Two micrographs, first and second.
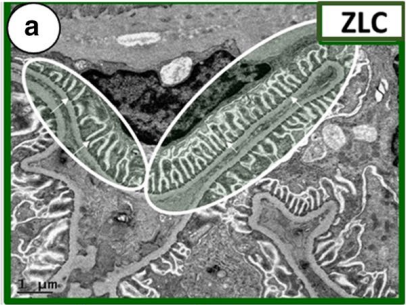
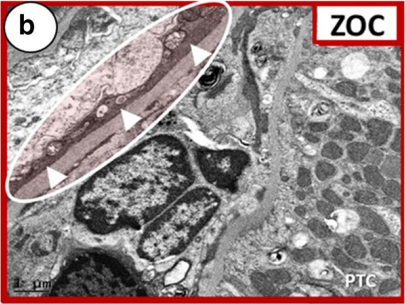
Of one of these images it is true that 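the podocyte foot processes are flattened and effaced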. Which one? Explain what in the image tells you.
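Second image: the outlined layer along the membrane is a flat, continuous band without separate processes. First image: the outlined layer is made of many discrete, regularly spaced finger-like processes.
Hence: the second image.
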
